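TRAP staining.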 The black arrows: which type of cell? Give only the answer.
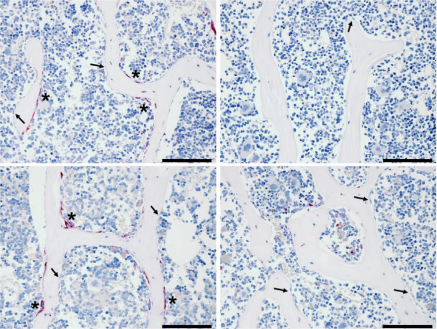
Osteoblasts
